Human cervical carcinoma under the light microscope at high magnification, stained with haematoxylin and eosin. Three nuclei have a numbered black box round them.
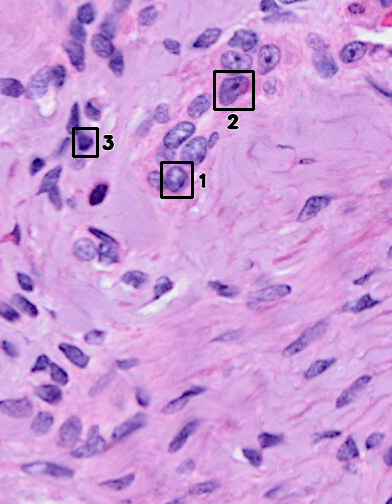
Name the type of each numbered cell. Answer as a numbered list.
1. endothelial cell
2. endothelial cell
3. fibroblast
